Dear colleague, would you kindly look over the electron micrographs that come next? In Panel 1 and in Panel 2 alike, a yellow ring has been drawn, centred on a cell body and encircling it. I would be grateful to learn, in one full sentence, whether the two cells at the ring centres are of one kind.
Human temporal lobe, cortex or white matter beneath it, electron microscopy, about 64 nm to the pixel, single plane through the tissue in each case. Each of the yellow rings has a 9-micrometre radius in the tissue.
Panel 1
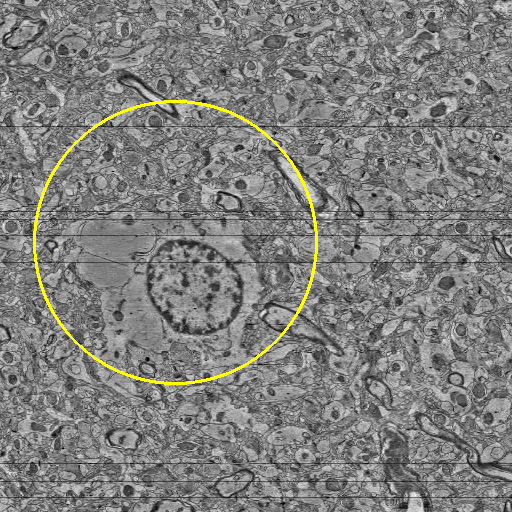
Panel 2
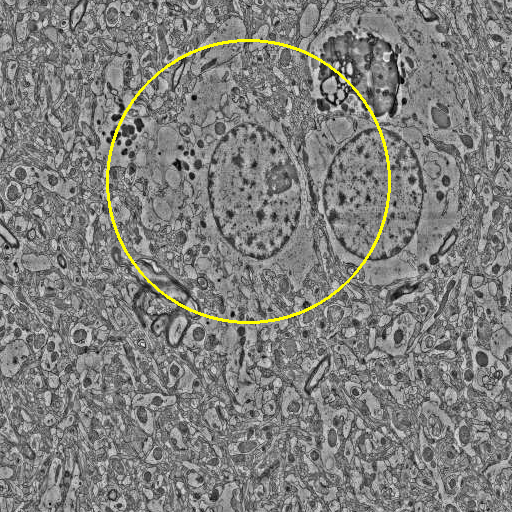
Yes, the cells in the middle of the rings in the two panels are of one kind.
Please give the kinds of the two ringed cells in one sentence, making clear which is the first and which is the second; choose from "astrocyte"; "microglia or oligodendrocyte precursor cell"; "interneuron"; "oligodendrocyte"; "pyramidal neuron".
Each of the two rings surrounds an astrocyte.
